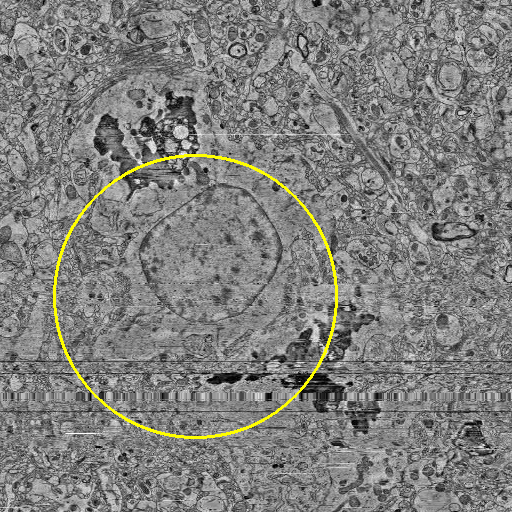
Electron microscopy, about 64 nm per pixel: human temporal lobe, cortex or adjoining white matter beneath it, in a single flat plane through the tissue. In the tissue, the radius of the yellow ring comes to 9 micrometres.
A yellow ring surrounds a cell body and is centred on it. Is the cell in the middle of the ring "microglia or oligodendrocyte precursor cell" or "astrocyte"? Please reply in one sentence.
The ring is centred on an astrocyte.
